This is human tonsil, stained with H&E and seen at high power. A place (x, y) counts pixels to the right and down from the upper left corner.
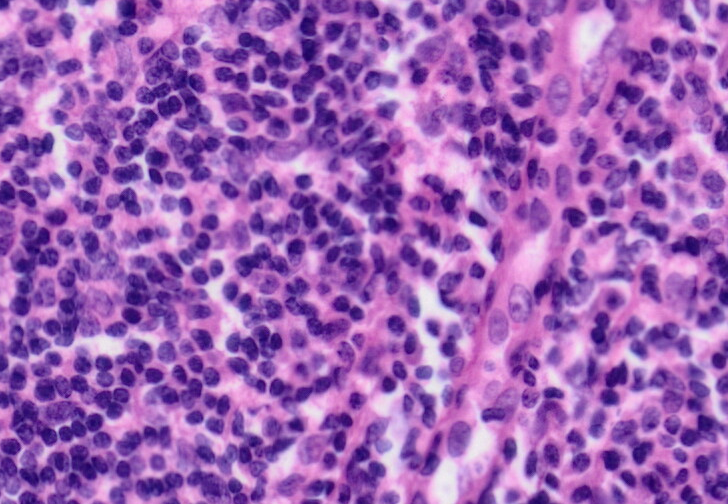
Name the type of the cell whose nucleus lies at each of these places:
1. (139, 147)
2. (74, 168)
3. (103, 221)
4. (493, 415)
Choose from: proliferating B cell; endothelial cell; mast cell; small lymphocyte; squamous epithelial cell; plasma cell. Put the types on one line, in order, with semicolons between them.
small lymphocyte; small lymphocyte; small lymphocyte; endothelial cell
